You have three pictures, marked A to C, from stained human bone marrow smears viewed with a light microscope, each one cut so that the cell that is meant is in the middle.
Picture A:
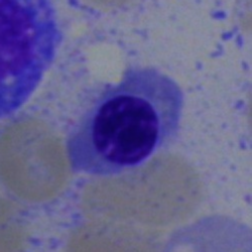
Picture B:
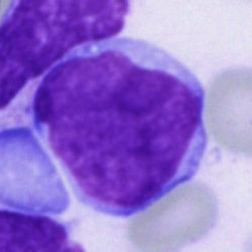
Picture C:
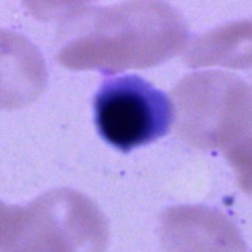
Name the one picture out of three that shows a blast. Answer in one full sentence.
Picture B shows the blast.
